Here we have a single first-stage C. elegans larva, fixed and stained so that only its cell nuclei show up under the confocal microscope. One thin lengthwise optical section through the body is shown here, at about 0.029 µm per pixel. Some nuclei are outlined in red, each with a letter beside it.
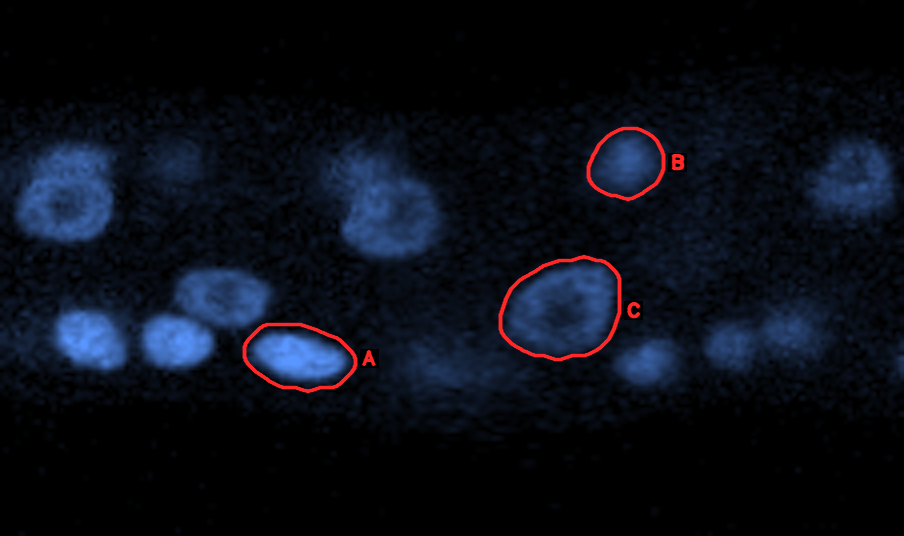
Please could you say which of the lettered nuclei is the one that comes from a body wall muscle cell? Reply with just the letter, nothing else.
B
